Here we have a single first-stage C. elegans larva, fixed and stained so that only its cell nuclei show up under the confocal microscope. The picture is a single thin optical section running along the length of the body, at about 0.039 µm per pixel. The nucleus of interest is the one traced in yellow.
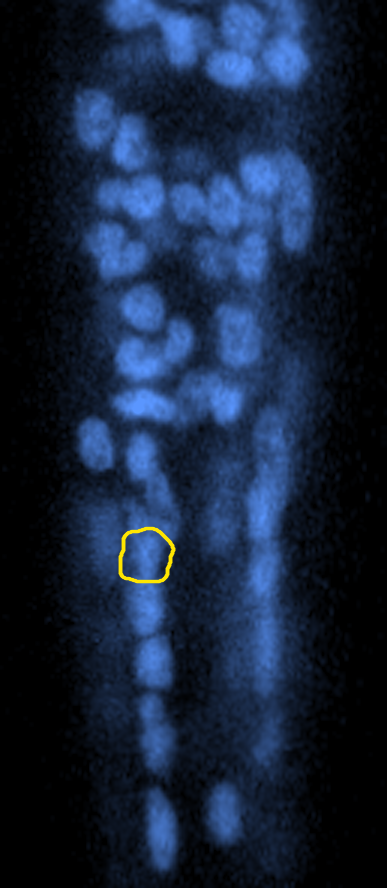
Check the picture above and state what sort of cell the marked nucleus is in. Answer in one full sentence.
The nucleus comes from a pharyngeal epithelial cell.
